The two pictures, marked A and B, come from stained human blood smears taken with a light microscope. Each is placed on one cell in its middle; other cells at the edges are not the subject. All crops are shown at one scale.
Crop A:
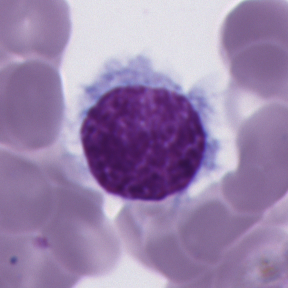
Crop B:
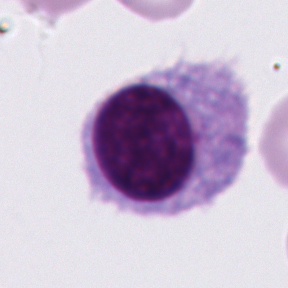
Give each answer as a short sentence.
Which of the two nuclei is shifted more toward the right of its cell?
Seen within its cell, the nucleus in crop A lies further toward the right.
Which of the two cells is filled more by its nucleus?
In crop A the nucleus takes up the larger part of its cell.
